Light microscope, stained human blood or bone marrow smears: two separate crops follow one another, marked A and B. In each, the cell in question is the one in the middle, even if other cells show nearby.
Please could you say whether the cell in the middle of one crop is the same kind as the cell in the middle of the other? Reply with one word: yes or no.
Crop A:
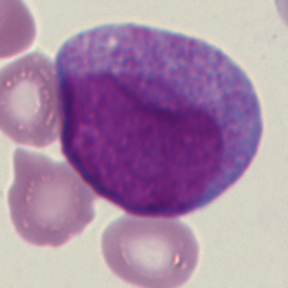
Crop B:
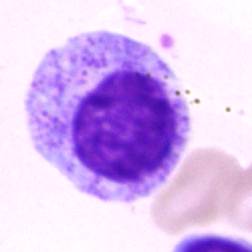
no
